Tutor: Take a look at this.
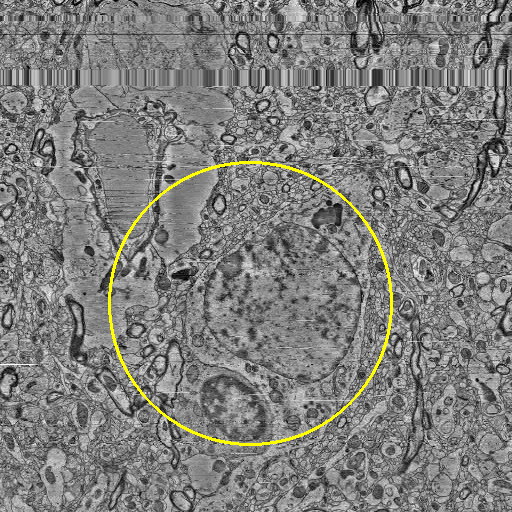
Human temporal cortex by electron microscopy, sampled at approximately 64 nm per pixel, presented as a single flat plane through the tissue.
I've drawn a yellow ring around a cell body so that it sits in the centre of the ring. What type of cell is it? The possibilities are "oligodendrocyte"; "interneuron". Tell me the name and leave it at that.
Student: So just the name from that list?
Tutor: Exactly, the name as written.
interneuron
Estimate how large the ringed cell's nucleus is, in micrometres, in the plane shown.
Approximately 10 micrometres across in this plane.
